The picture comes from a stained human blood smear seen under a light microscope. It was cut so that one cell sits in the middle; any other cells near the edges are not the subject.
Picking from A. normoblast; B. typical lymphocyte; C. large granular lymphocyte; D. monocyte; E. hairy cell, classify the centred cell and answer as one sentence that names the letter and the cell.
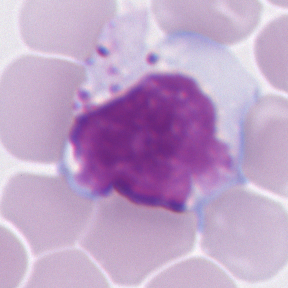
The cell in the centre of the crop is a large granular lymphocyte, so option C is the correct one.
